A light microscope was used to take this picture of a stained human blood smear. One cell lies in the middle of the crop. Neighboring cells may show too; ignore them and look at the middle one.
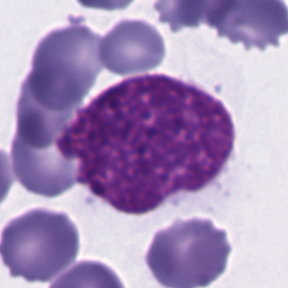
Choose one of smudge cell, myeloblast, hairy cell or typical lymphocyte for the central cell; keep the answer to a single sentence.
Classification of the middle cell gives a smudge cell.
